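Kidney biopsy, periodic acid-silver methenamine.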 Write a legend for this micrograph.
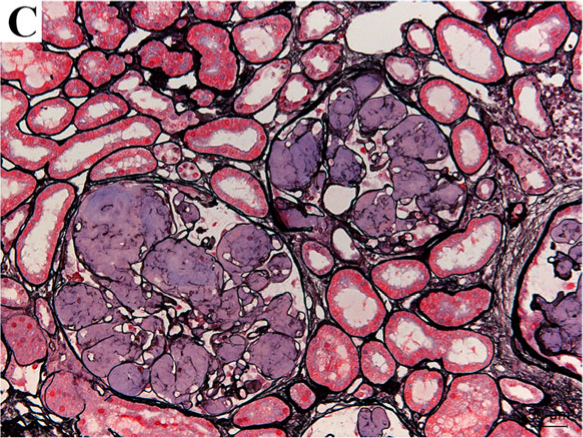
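Renal cortex with two glomeruli whose tufts are expanded by lobulated purple-grey homogeneous material filling much of each tuft, leaving few open capillary spaces. Black silver-stained membranes outline the lobules and Bowman's capsules. Surrounding tubules are sharply outlined by black basement membranes, with reddish epithelial cytoplasm and open lumens. At the right edge, interstitium contains dense black fibres. The lobular masses are far larger than normal glomerular stalks, and the delicate capillary loop pattern of a normal glomerulus is largely lost.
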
